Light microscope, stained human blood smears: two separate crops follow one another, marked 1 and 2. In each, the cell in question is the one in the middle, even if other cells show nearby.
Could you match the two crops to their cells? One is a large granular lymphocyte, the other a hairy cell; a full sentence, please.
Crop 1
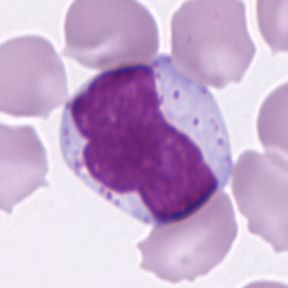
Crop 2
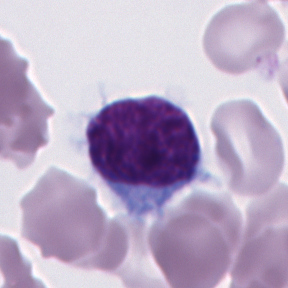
Crop 1 is a large granular lymphocyte; crop 2, on the other hand, is a hairy cell.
